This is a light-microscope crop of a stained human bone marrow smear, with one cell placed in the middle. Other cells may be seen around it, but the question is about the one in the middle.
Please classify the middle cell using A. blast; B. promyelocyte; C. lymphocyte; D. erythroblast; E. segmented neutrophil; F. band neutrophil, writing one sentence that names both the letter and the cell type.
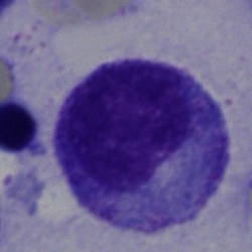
Located in the middle of the crop is a promyelocyte, and option B is therefore correct.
